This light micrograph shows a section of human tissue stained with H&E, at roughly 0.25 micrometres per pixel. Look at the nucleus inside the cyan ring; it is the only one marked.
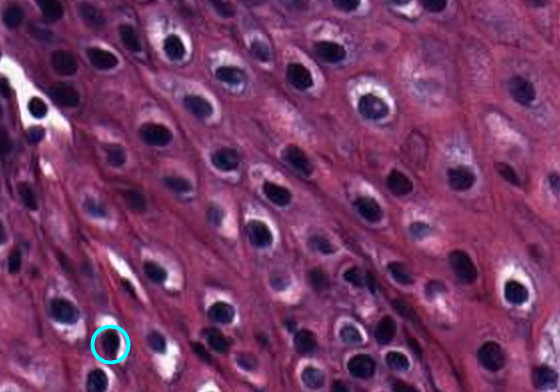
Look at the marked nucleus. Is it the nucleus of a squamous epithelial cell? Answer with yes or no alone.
yes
